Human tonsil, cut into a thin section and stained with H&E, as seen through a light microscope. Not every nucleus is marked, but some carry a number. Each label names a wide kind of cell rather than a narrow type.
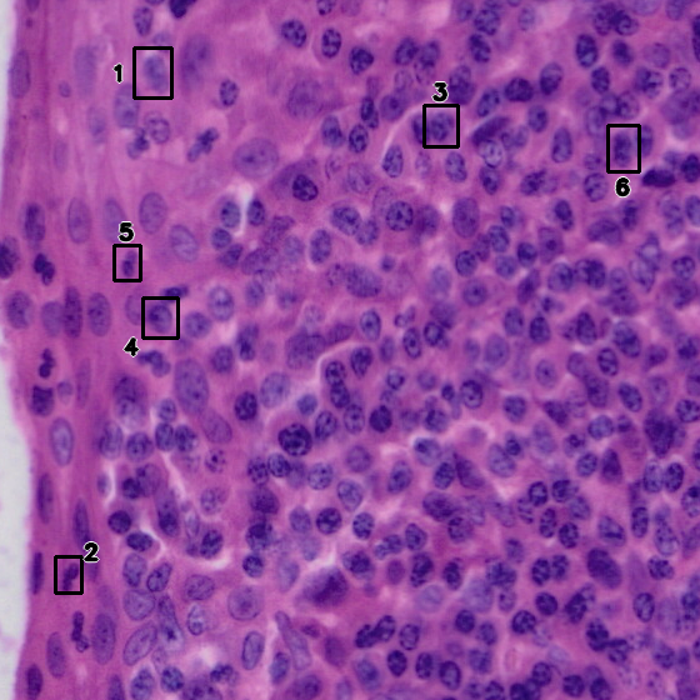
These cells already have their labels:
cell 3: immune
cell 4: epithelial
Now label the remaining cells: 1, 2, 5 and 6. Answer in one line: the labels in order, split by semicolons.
epithelial; epithelial; epithelial; immune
